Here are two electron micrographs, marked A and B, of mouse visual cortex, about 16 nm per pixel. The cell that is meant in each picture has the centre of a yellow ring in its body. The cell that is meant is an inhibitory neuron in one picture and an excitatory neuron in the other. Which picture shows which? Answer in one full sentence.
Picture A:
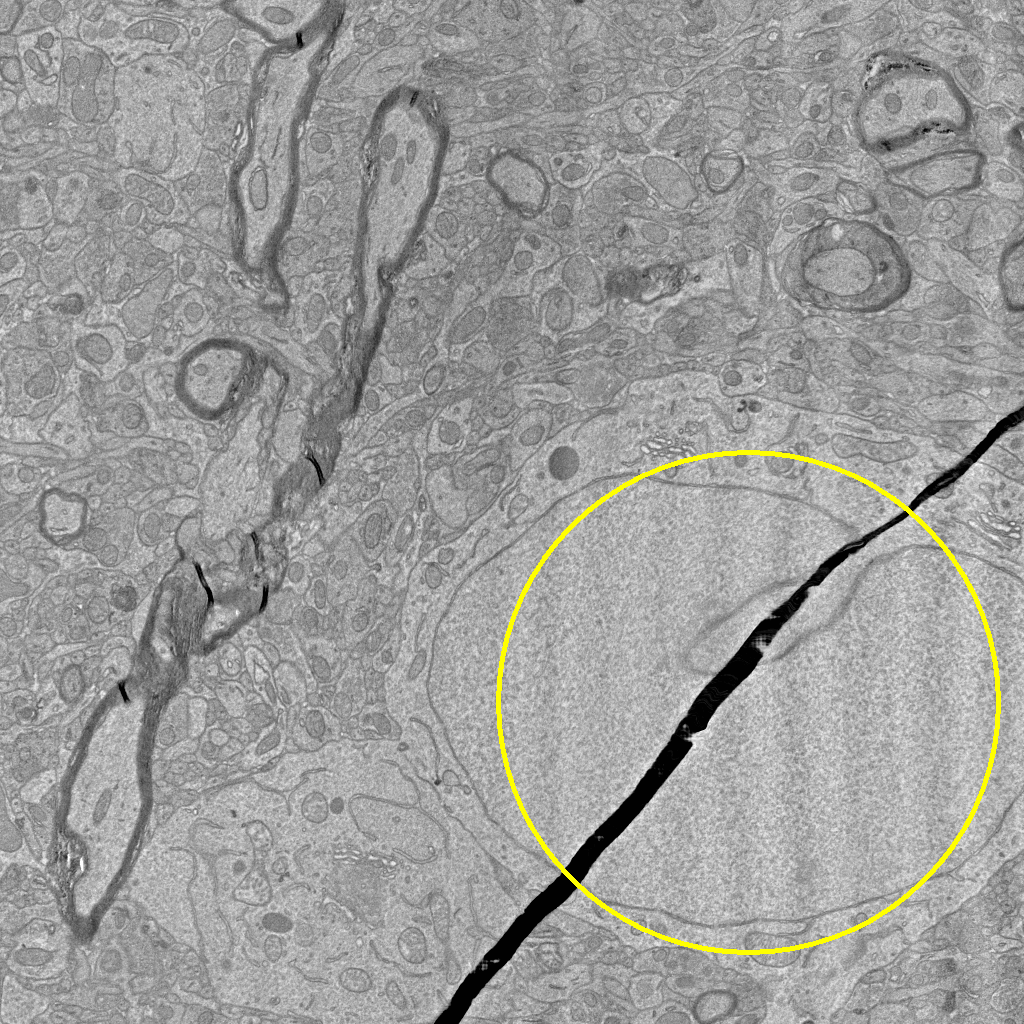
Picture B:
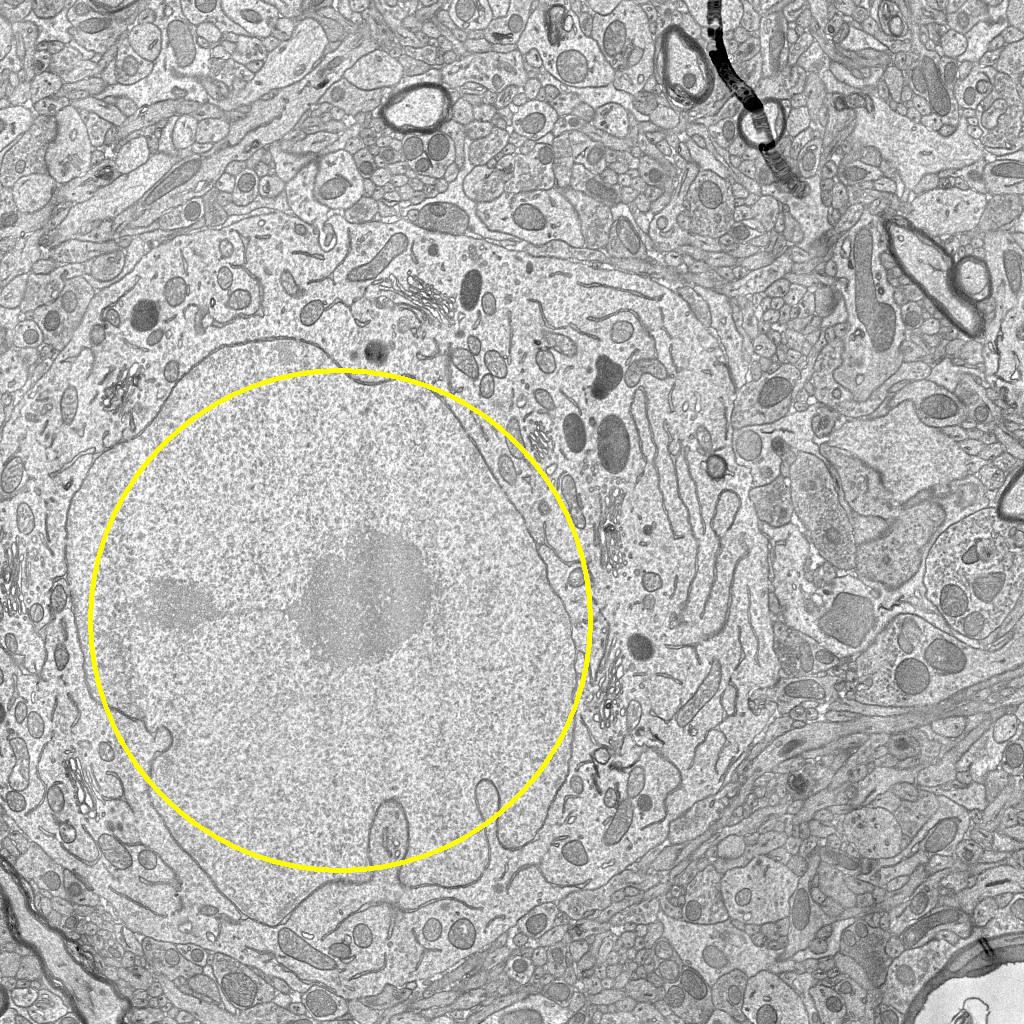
Picture A shows an excitatory neuron and picture B shows an inhibitory neuron.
